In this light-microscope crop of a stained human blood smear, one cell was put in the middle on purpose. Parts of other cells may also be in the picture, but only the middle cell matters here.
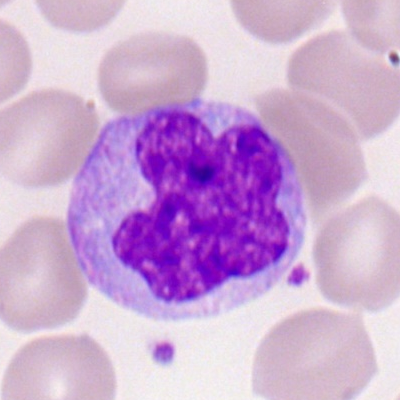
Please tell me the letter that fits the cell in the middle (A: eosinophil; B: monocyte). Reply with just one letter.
B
